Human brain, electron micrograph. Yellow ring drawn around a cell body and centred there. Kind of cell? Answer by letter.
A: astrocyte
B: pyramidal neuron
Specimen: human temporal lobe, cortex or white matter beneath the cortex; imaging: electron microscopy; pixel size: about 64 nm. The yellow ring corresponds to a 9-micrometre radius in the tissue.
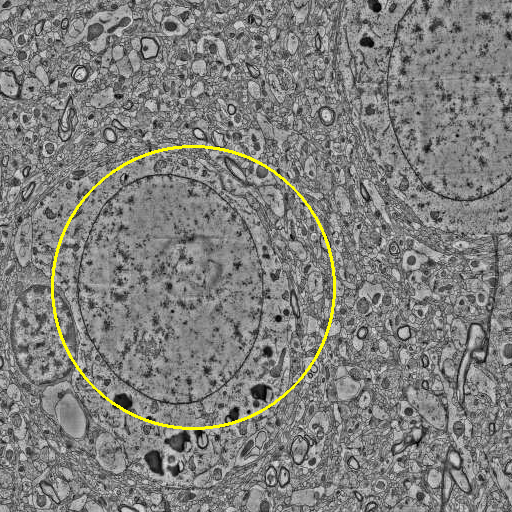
B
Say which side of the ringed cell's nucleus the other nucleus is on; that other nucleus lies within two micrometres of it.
The other one lies to the left of it.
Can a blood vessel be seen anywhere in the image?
No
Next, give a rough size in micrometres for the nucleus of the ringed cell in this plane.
About 15 micrometres by about 12 micrometres in this plane.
